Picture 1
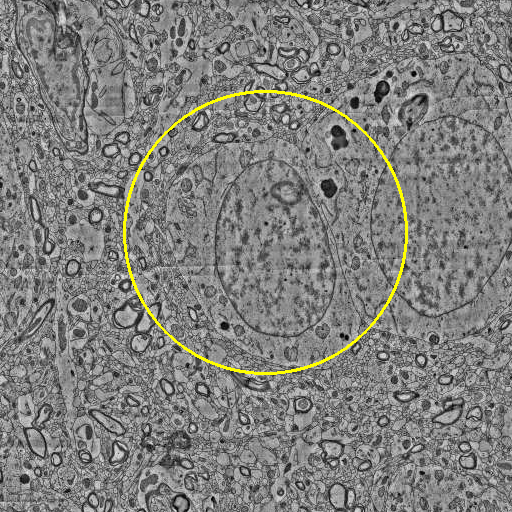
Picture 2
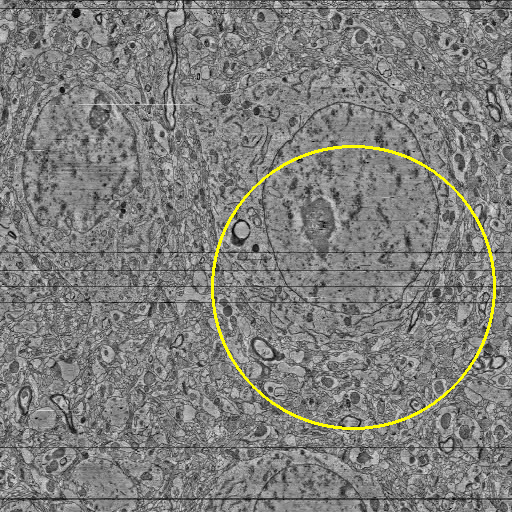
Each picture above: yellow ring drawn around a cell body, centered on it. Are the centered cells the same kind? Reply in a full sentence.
Yes, the two cells are the same kind.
